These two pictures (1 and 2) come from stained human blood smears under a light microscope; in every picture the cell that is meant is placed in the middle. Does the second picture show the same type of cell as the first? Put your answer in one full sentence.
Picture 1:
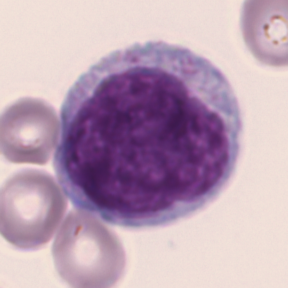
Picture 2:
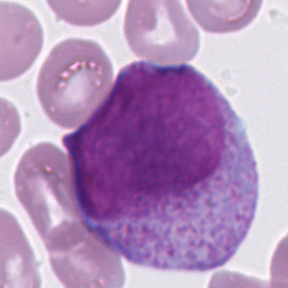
Yes, the two pictures both show promyelocytes.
